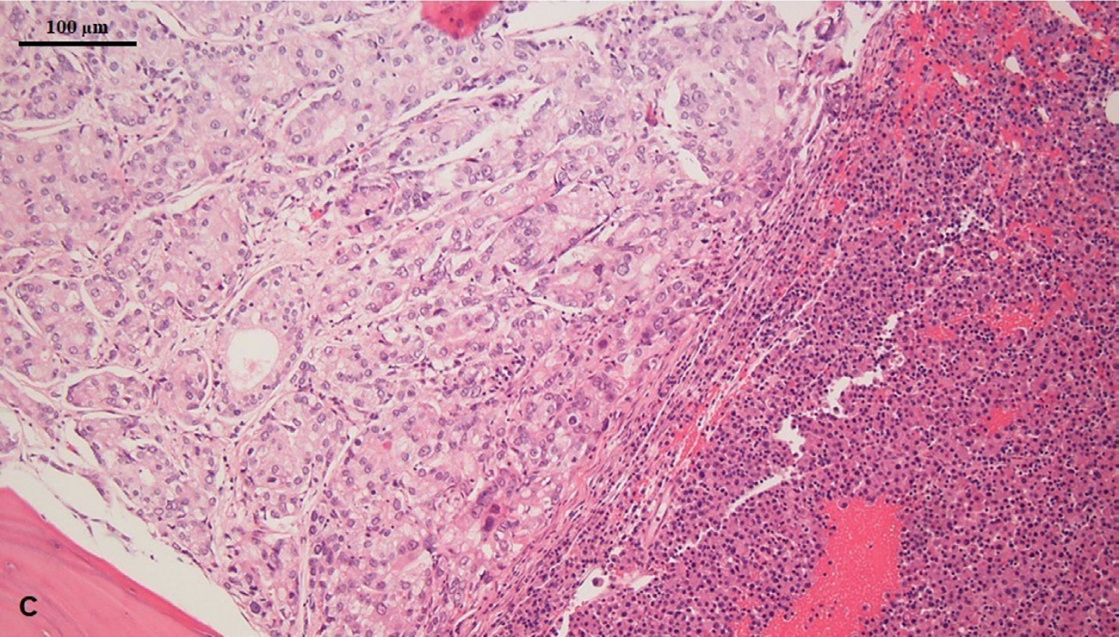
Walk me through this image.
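Two different tumour populations lie side by side in bone. On the left are large epithelial cells with ample pale pink, finely granular cytoplasm and round nuclei with visible nucleoli, arranged in nests and forming small glands with open lumens, separated by thin fibrous strands. A piece of pink bone lies at the lower left corner.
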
